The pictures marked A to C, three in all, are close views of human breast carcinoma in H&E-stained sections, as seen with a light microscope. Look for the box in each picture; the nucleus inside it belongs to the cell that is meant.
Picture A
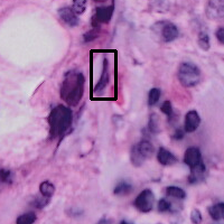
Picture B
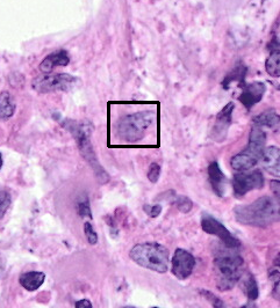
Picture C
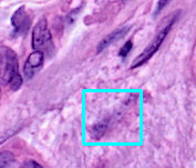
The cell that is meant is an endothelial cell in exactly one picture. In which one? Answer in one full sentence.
It is picture A that shows the endothelial cell.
